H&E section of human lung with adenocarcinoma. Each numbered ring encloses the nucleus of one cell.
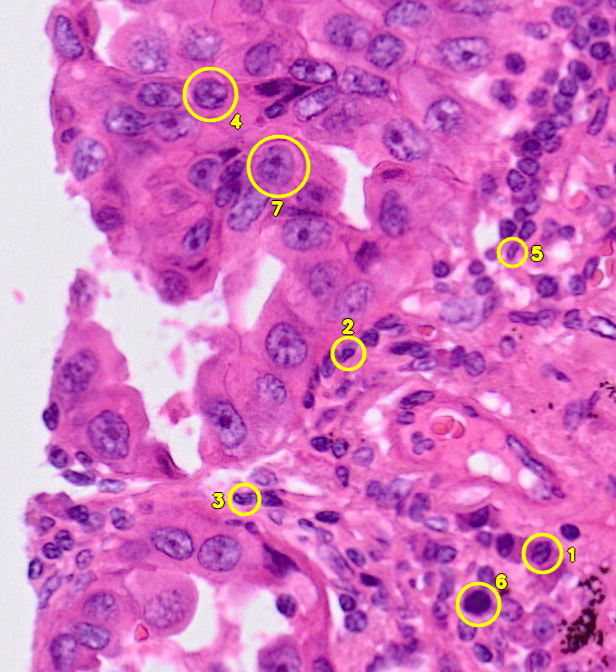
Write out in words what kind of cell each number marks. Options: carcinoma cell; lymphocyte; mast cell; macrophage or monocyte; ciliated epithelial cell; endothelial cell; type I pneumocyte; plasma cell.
Cell 1 is a plasma cell, cell 2 is a lymphocyte, cell 3 is a lymphocyte, cell 4 is a carcinoma cell, cell 5 is a lymphocyte, cell 6 is a plasma cell and cell 7 is a carcinoma cell.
